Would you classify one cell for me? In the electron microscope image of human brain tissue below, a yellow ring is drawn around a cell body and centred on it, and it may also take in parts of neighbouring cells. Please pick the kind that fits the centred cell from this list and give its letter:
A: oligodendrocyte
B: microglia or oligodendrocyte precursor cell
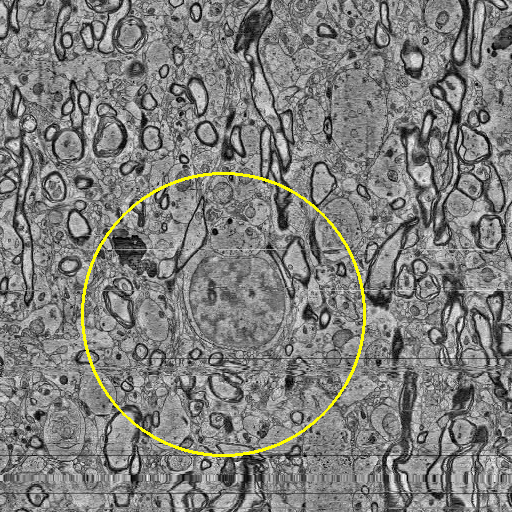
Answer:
A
